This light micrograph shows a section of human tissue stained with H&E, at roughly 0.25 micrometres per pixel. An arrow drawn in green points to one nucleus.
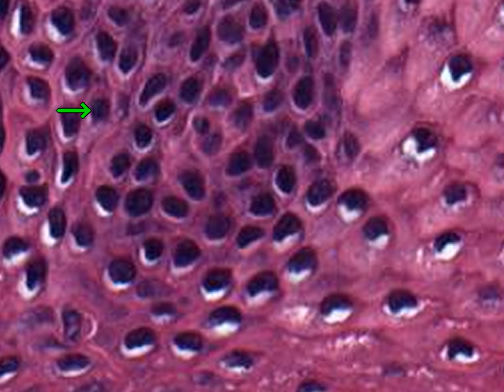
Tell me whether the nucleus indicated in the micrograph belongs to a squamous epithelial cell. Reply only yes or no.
yes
